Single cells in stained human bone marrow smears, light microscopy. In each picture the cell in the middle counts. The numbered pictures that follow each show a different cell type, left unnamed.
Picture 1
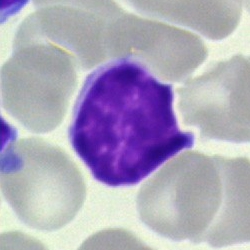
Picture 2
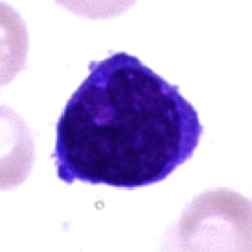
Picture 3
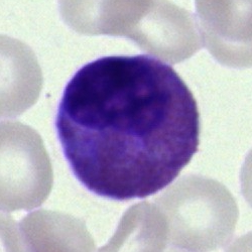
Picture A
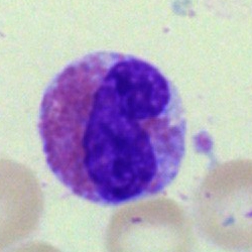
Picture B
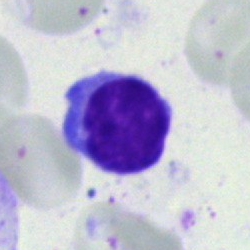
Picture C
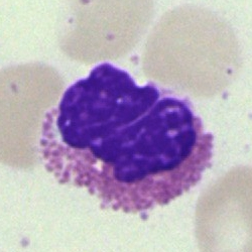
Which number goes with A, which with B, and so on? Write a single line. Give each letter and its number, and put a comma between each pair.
A 3, B 1, C 3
